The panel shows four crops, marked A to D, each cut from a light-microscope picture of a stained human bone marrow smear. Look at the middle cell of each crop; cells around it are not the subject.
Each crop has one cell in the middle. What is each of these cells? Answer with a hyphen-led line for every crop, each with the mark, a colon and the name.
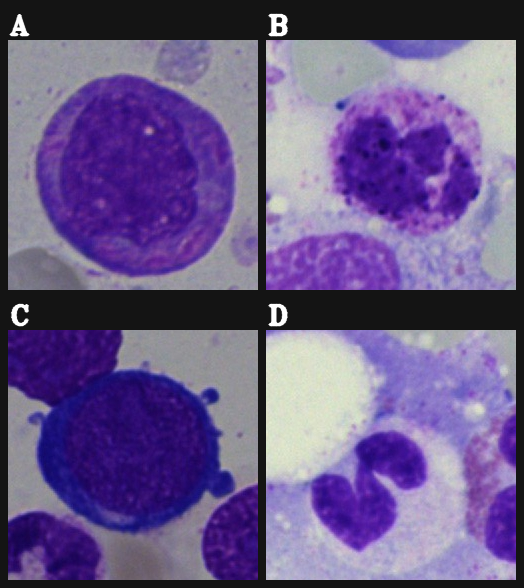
- A: promyelocyte
- B: basophil
- C: proerythroblast
- D: segmented neutrophil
